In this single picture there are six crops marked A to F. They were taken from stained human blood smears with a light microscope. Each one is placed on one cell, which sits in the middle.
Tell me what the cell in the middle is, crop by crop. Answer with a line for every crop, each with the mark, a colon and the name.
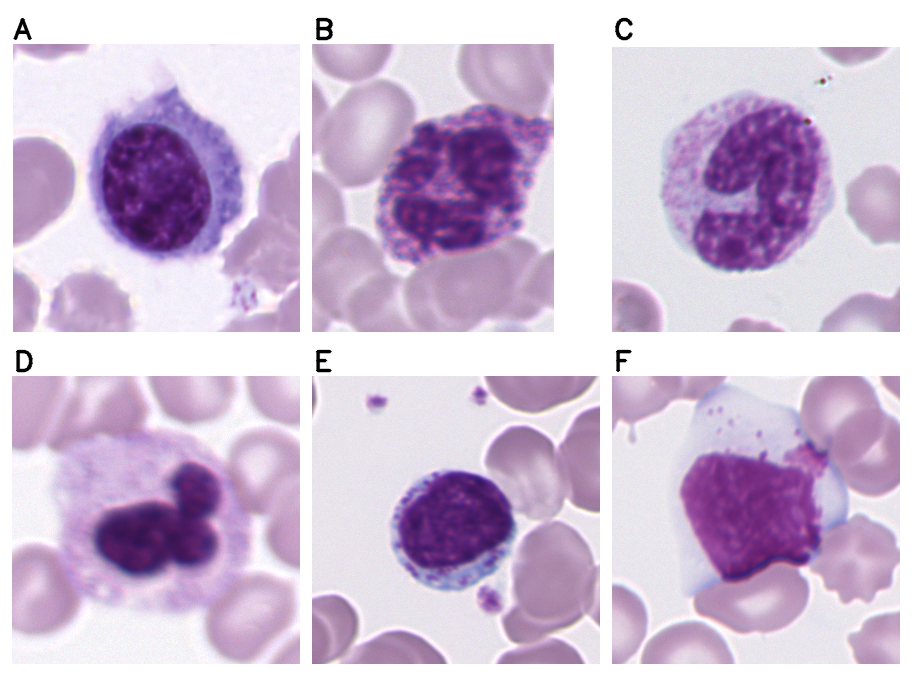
A: plasma cell
B: basophil
C: band neutrophil
D: segmented neutrophil
E: large granular lymphocyte
F: large granular lymphocyte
